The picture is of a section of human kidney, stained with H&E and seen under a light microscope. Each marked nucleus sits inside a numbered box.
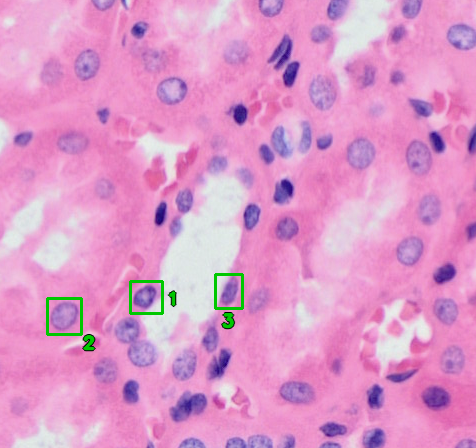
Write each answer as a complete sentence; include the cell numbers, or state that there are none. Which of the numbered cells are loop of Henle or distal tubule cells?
Marked by the numbers 1 and 3 are cells that are loop of Henle or distal tubule cells.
